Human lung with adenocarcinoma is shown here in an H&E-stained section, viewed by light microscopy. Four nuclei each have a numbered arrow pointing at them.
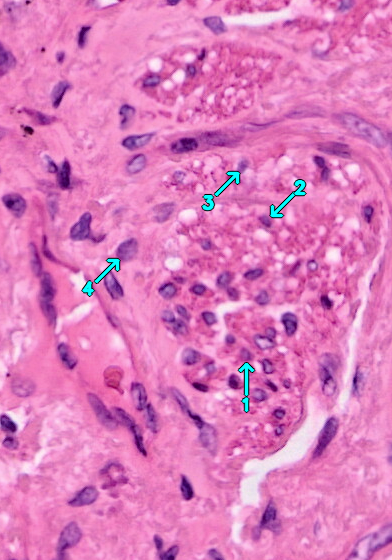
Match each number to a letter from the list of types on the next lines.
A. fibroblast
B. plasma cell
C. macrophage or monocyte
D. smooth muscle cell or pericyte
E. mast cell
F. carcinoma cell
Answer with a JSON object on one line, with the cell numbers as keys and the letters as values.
{"1": "D", "2": "D", "3": "D", "4": "E"}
